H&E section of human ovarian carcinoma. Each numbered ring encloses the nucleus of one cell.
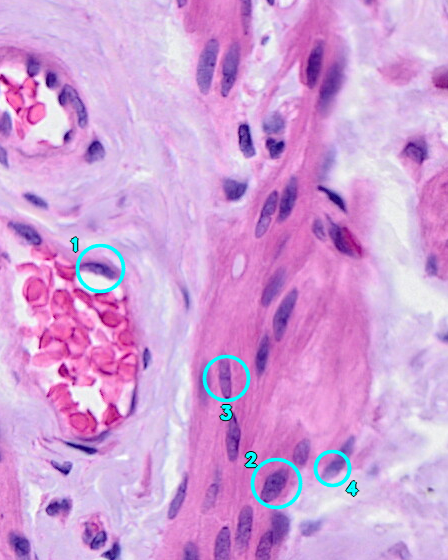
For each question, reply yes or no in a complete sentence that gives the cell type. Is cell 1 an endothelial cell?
Yes, regarding number 1, the cell is an endothelial cell.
